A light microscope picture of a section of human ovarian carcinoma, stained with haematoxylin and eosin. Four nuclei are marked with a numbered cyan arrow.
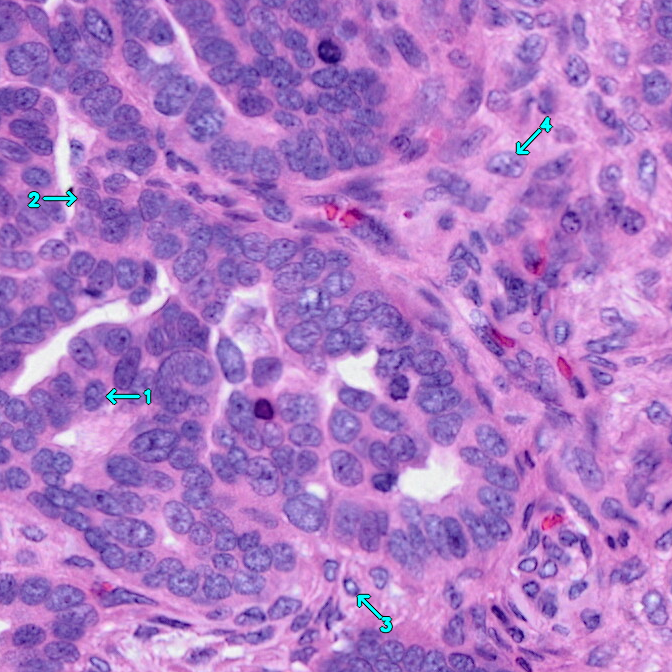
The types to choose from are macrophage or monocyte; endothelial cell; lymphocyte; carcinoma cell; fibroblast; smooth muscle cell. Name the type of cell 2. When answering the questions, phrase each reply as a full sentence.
Marked with the number 2, this cell is a carcinoma cell.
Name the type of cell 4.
The numbered cell 4 in this field is a fibroblast.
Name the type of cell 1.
Here, the cell given the number 1 is a carcinoma cell.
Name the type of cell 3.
Belonging to a fibroblast is the nucleus that carries the number 3.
